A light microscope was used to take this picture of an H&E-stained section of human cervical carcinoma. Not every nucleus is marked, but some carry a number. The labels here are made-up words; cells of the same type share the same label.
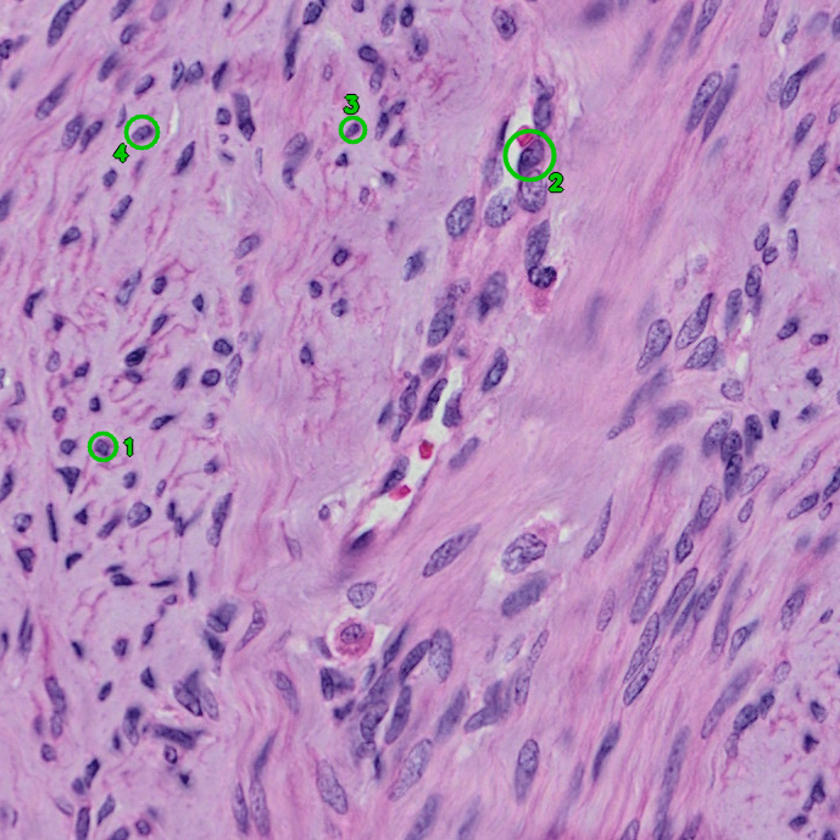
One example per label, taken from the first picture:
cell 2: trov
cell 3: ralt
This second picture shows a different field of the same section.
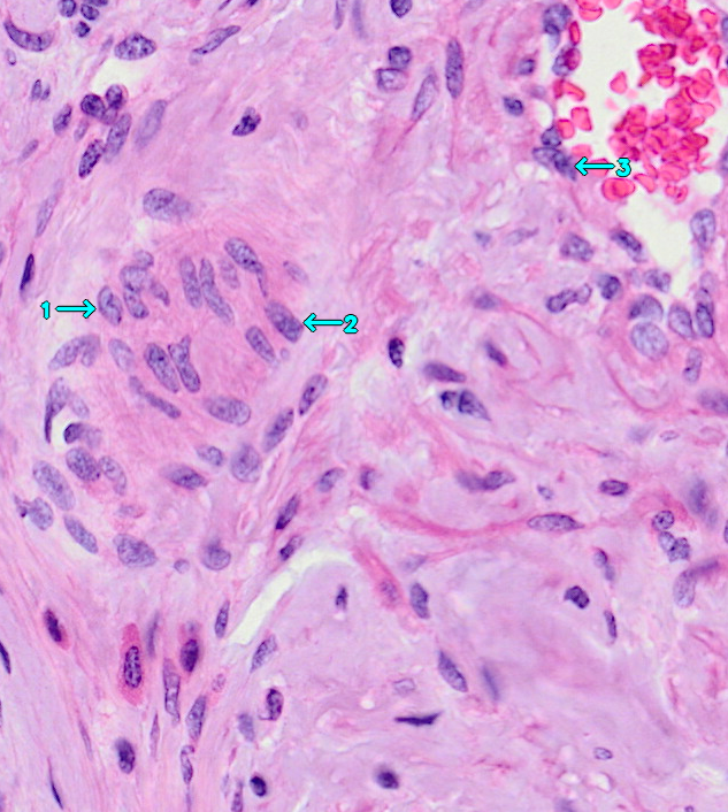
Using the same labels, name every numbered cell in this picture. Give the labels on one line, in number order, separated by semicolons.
ralt; ralt; trov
